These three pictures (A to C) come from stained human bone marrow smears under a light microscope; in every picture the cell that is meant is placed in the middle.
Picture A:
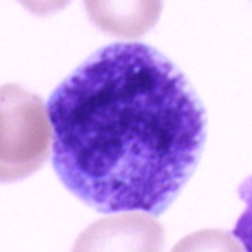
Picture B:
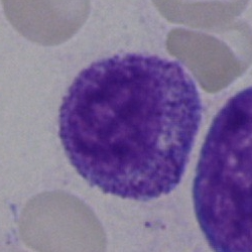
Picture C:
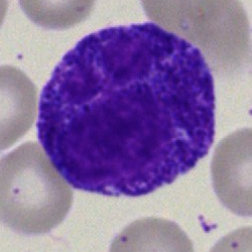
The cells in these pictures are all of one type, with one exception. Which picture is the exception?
B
